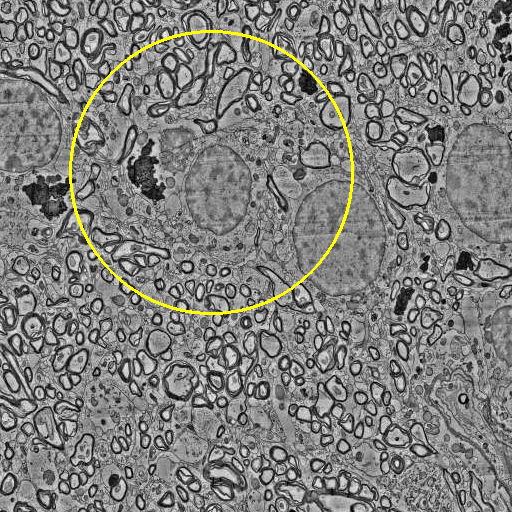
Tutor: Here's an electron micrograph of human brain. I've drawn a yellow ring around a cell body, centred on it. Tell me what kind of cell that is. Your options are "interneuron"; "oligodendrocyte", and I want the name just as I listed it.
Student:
oligodendrocyte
